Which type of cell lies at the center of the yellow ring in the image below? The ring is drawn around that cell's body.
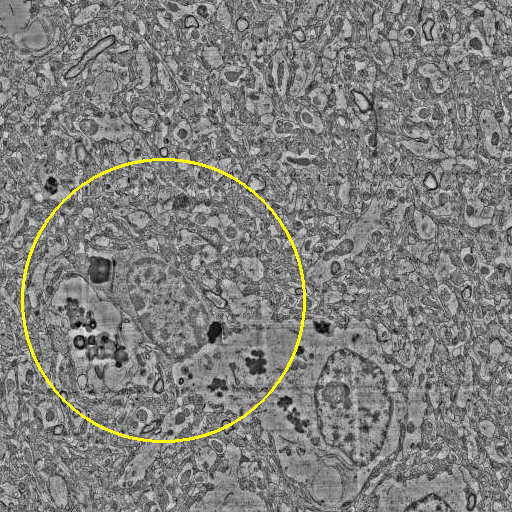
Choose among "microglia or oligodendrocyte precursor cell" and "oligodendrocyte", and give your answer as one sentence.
The cell body at the center belongs to an oligodendrocyte.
